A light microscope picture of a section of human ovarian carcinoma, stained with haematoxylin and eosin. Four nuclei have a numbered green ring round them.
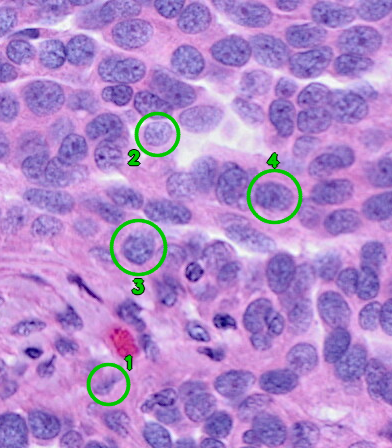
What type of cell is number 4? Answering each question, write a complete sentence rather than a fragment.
Number 4 is placed on a carcinoma cell here.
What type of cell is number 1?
The cell that is numbered 1 is a fibroblast.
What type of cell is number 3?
The cell assigned the number 3 is a carcinoma cell.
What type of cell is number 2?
The cell marked with the number 2 is a carcinoma cell.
